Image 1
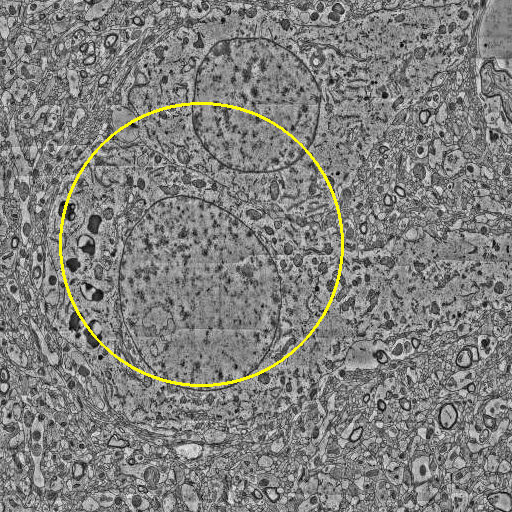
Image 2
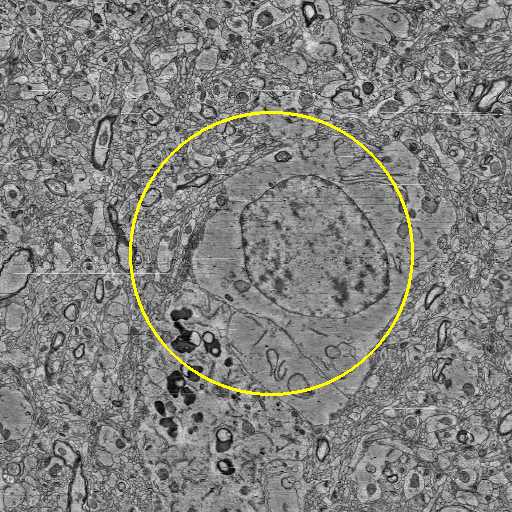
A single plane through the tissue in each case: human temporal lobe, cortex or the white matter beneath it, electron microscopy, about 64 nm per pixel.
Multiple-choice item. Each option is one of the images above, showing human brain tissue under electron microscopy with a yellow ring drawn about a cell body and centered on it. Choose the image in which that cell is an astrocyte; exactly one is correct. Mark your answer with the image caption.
Image 2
